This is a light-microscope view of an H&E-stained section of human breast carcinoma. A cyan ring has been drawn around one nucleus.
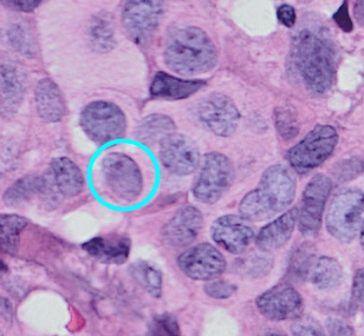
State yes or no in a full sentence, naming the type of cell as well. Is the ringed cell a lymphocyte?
No, the ringed cell is recorded as a carcinoma cell instead of a lymphocyte.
